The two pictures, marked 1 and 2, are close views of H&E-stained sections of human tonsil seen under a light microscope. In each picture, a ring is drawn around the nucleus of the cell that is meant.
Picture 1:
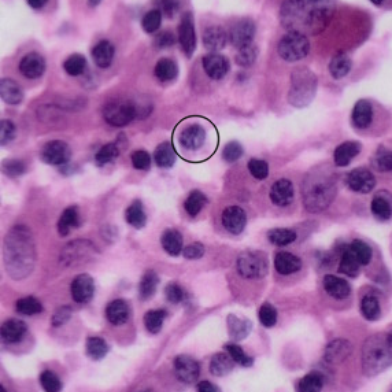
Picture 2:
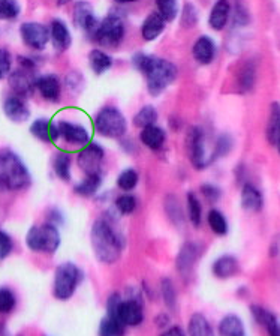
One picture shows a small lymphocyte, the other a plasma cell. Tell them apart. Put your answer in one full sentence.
Picture 1 is of a plasma cell, and picture 2 is of a small lymphocyte.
